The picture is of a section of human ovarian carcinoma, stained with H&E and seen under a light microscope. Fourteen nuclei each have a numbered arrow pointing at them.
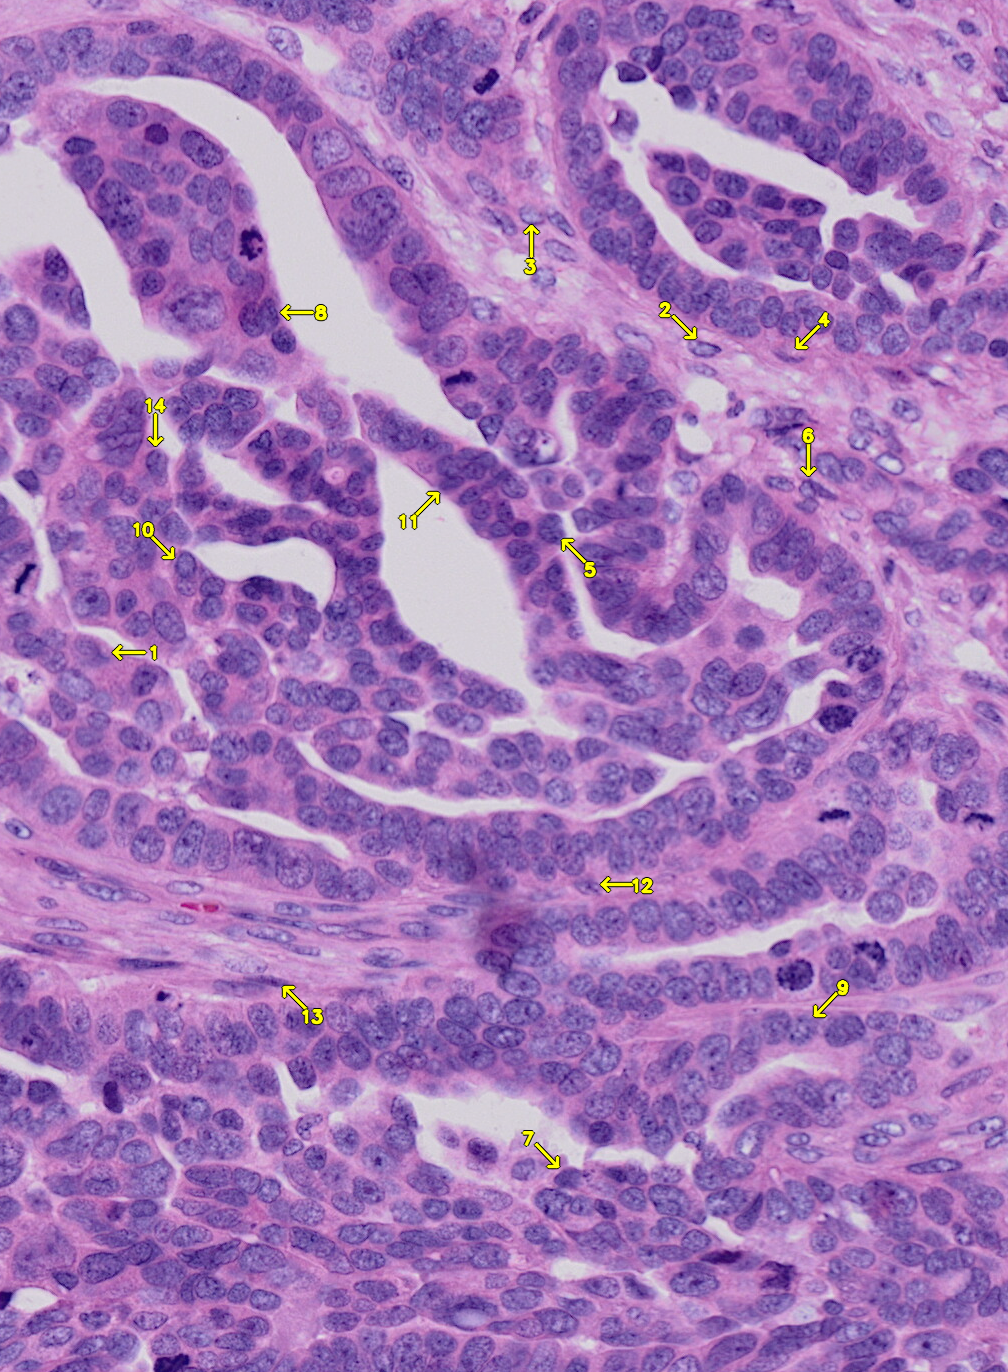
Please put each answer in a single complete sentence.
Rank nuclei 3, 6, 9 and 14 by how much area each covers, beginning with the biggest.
Going from the biggest nucleus down to the smallest gives 9, 14, 3, 6.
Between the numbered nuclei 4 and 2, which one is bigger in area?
It is nucleus 2, which covers about 1.5 times the area of nucleus 4.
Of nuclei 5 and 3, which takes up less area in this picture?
Number 3 is smaller, since number 5 takes up about 2 times as much area.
